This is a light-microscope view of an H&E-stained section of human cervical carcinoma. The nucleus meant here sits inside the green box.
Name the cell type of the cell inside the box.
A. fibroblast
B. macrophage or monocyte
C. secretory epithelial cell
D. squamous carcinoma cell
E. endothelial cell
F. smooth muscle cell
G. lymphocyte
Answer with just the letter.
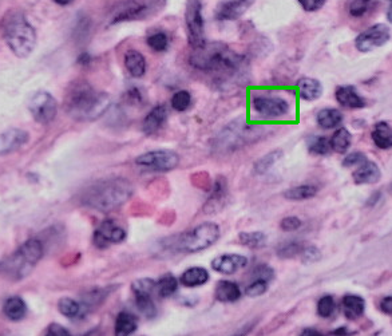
G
